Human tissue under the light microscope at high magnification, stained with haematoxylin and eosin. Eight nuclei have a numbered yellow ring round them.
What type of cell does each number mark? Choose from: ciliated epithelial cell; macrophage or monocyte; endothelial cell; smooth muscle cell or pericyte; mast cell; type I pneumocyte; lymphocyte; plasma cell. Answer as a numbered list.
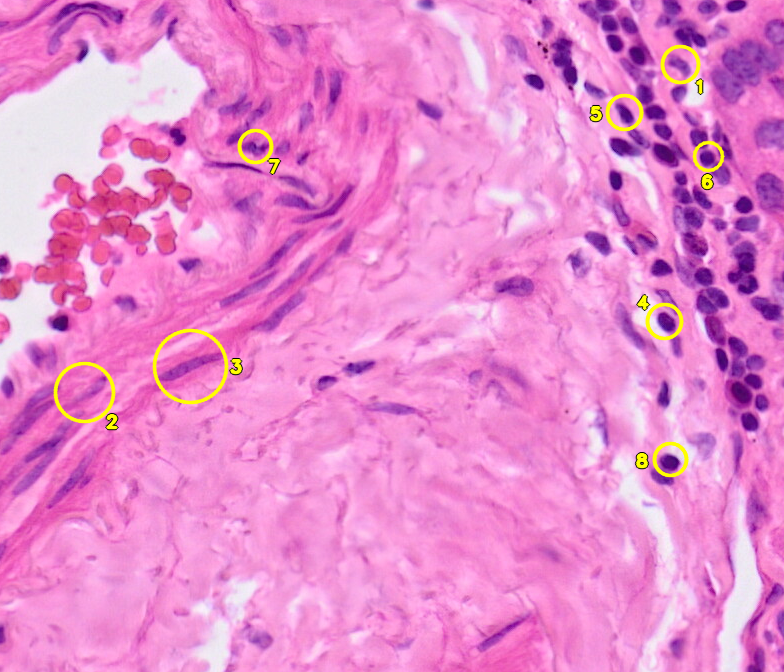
1. lymphocyte
2. smooth muscle cell or pericyte
3. smooth muscle cell or pericyte
4. lymphocyte
5. lymphocyte
6. lymphocyte
7. smooth muscle cell or pericyte
8. lymphocyte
